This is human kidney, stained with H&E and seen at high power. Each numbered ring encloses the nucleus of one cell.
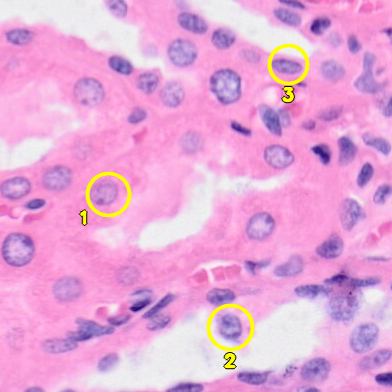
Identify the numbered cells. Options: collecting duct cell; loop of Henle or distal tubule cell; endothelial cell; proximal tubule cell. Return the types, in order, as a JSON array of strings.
["proximal tubule cell", "loop of Henle or distal tubule cell", "collecting duct cell"]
